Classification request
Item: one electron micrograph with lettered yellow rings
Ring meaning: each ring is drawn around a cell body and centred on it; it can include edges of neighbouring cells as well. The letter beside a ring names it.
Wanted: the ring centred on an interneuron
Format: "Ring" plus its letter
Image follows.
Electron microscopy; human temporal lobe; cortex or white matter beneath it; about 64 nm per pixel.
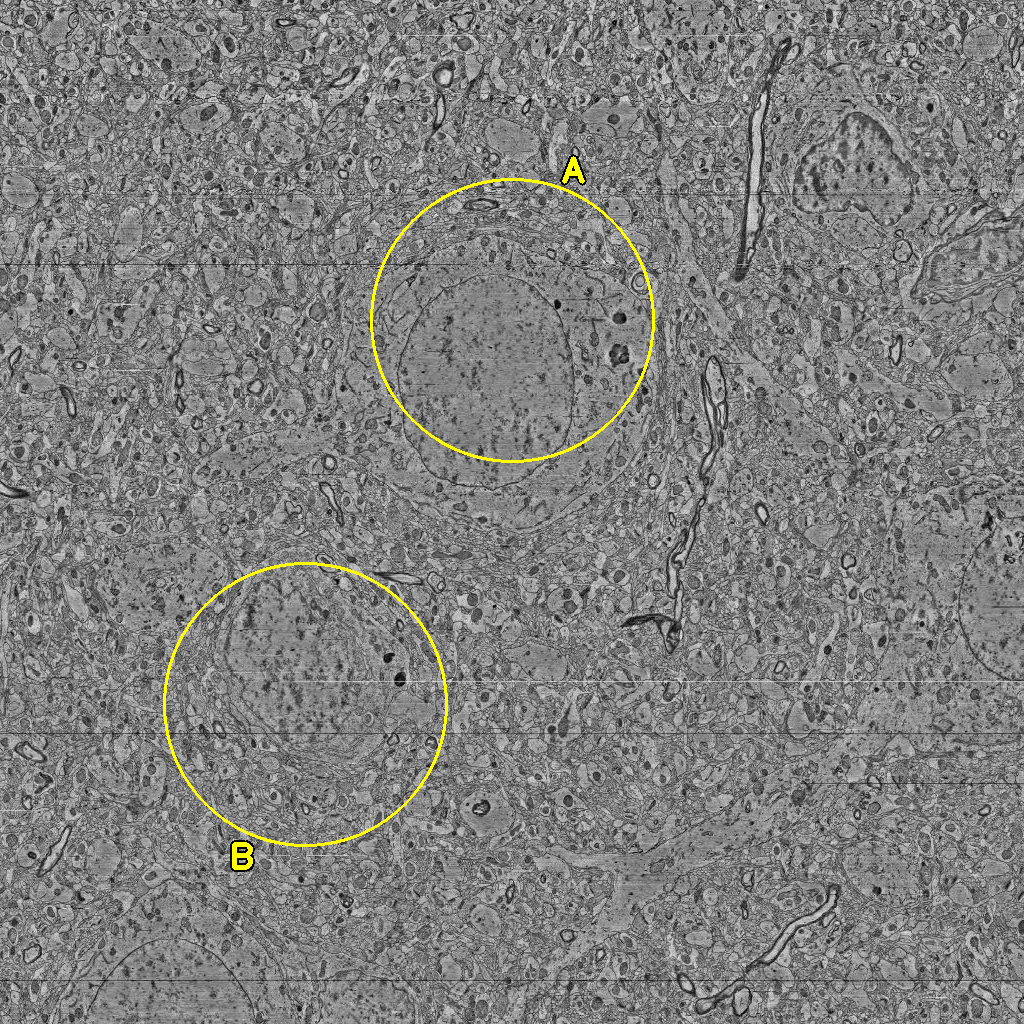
Ring B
